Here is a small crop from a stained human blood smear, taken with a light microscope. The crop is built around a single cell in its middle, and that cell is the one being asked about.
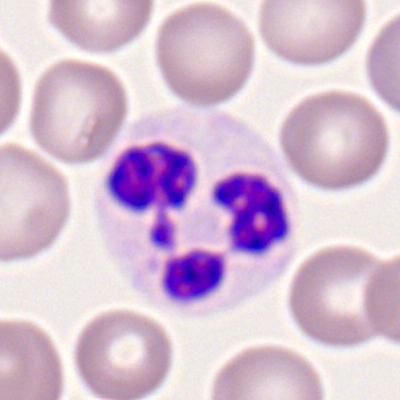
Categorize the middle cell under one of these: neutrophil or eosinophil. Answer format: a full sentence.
Framed in the middle of the crop is a neutrophil.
